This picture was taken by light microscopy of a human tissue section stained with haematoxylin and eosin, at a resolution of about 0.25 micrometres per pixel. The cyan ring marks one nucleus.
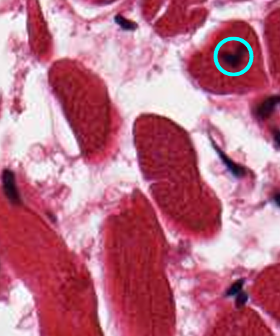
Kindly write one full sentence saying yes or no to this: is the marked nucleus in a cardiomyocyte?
Yes, the nucleus that carries the mark belongs to a cardiomyocyte.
